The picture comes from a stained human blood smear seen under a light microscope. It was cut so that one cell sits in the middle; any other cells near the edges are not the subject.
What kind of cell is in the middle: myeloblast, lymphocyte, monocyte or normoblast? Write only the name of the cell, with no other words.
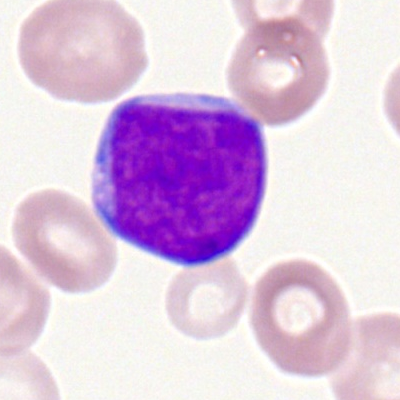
myeloblast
